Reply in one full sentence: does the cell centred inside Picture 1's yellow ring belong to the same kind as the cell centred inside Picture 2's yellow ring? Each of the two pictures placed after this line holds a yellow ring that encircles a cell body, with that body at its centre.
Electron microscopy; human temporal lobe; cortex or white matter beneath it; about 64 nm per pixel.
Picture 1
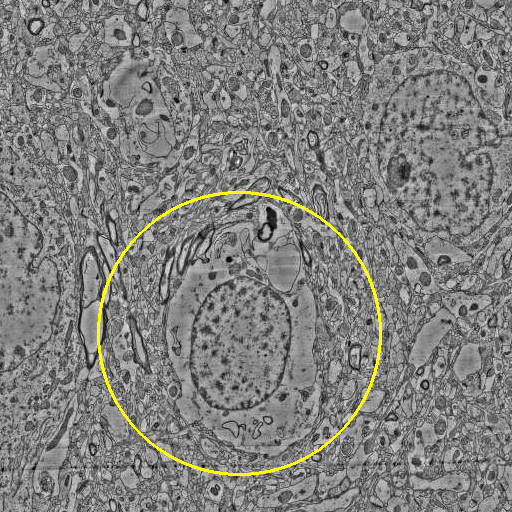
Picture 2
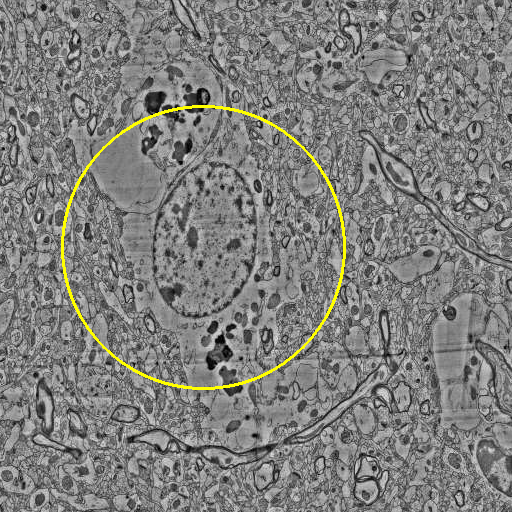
Yes, the ring-centred cells in Picture 1 and Picture 2 are of one and the same kind.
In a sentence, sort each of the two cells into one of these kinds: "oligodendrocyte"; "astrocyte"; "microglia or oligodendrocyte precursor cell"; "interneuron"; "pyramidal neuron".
The second cell is an astrocyte, just as the first is.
